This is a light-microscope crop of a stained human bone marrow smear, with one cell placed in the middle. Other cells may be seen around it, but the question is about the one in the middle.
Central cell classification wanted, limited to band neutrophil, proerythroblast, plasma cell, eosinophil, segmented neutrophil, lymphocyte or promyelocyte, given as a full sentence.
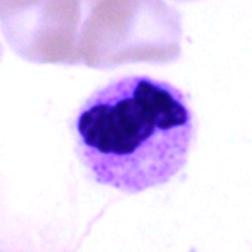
In the crop, the cell of interest at the centre is a segmented neutrophil.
